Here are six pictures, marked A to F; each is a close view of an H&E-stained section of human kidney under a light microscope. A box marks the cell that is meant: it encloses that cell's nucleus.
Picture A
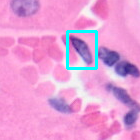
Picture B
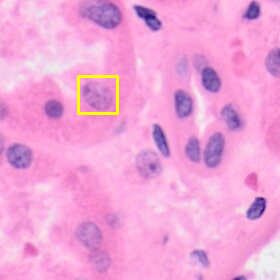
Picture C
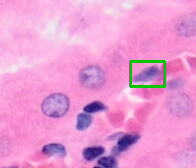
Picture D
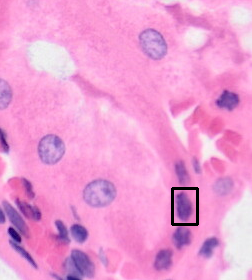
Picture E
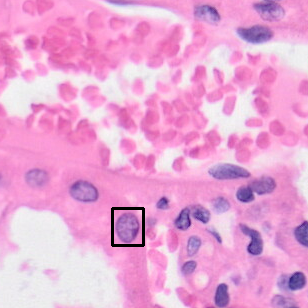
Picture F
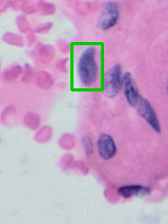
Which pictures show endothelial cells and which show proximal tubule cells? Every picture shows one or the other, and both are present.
A: endothelial cell
B: proximal tubule cell
C: endothelial cell
D: proximal tubule cell
E: proximal tubule cell
F: endothelial cell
